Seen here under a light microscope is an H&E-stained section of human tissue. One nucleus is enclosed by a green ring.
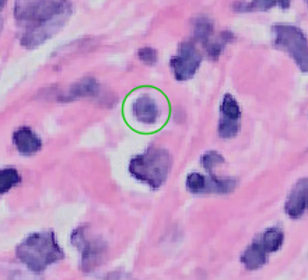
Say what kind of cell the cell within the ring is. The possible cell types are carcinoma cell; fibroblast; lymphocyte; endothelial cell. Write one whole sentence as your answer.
Cell type answer for this item: the cell within the ring is a lymphocyte.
